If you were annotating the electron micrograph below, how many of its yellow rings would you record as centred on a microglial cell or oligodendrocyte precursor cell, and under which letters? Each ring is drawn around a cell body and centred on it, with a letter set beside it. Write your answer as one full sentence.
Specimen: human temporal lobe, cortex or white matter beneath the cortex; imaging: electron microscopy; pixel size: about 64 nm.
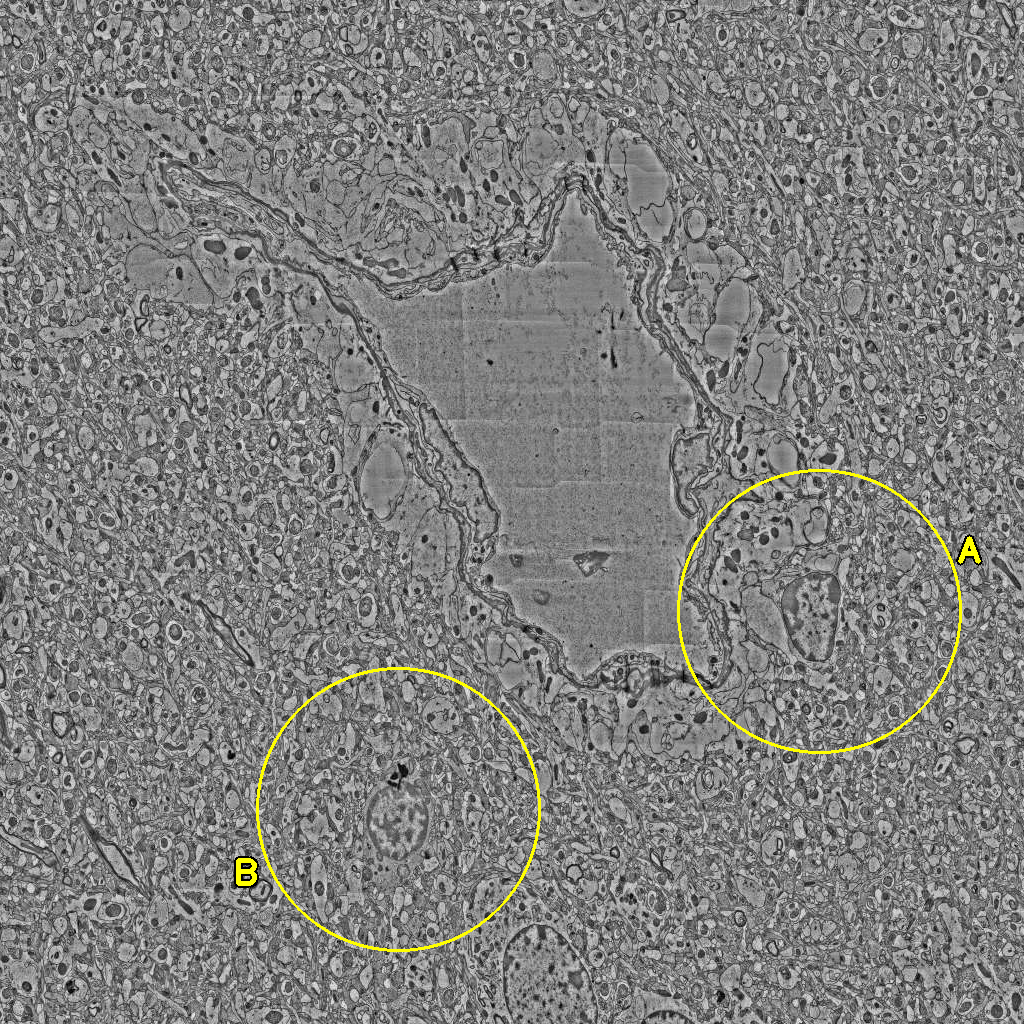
The letter beside the single ring centred on a microglial cell or oligodendrocyte precursor cell is A.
